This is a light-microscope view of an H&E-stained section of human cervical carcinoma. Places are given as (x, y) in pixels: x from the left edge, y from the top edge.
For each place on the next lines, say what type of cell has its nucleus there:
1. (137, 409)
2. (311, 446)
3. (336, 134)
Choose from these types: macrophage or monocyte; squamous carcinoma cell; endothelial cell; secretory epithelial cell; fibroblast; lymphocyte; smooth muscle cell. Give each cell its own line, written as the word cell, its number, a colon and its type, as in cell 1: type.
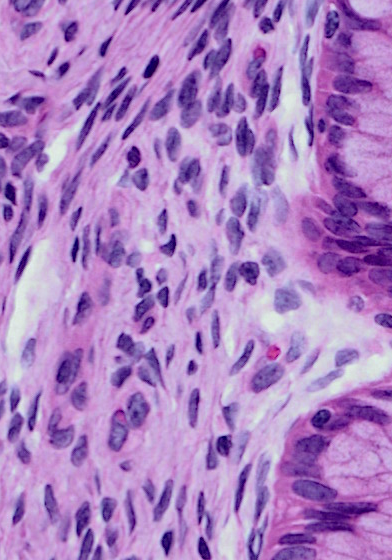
cell 1: endothelial cell
cell 2: secretory epithelial cell
cell 3: secretory epithelial cell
